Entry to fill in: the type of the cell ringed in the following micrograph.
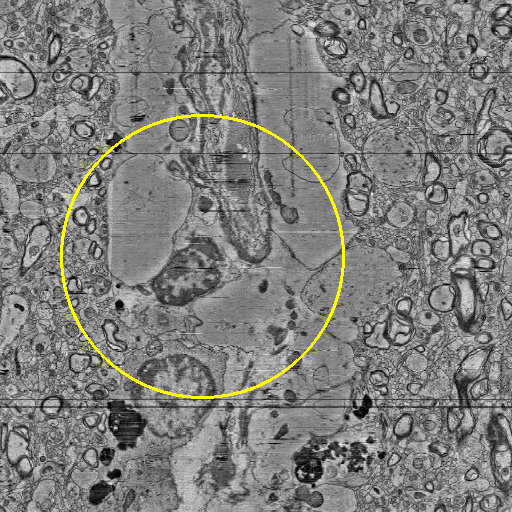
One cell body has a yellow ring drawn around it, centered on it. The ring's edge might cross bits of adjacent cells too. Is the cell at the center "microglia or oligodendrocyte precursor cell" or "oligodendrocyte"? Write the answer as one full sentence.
This entry names a microglial cell or oligodendrocyte precursor cell as the cell whose body lies at the ring's center.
